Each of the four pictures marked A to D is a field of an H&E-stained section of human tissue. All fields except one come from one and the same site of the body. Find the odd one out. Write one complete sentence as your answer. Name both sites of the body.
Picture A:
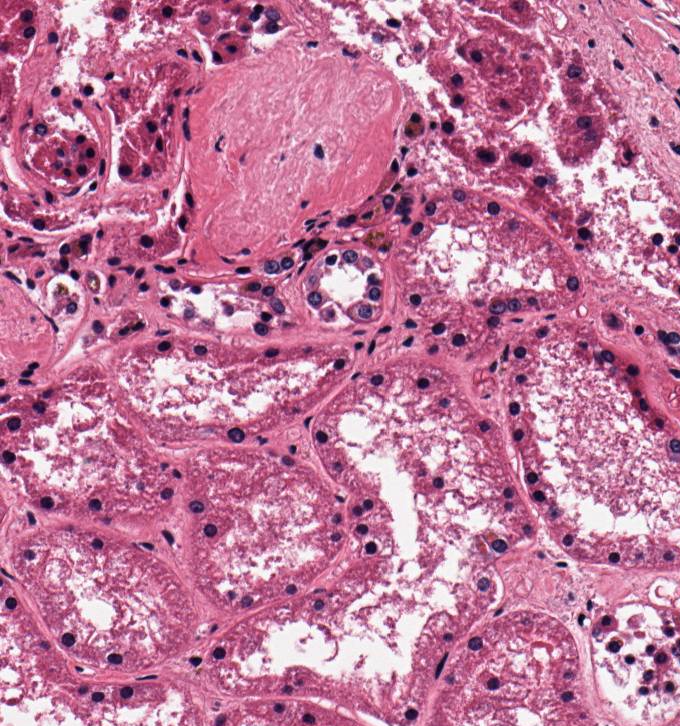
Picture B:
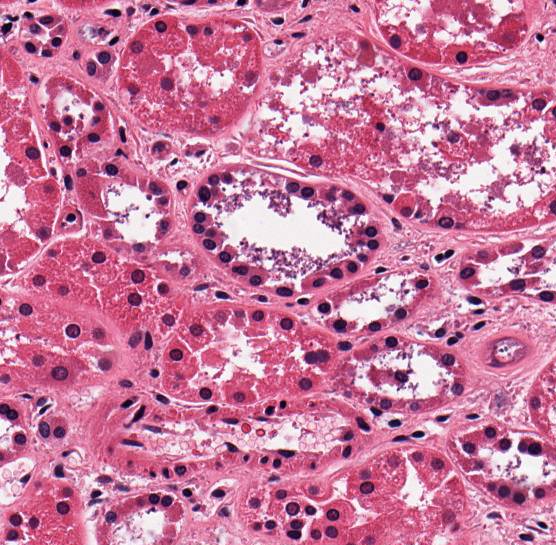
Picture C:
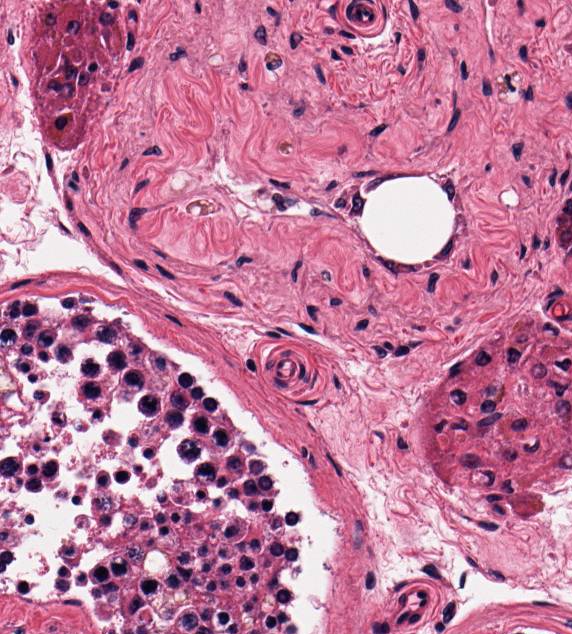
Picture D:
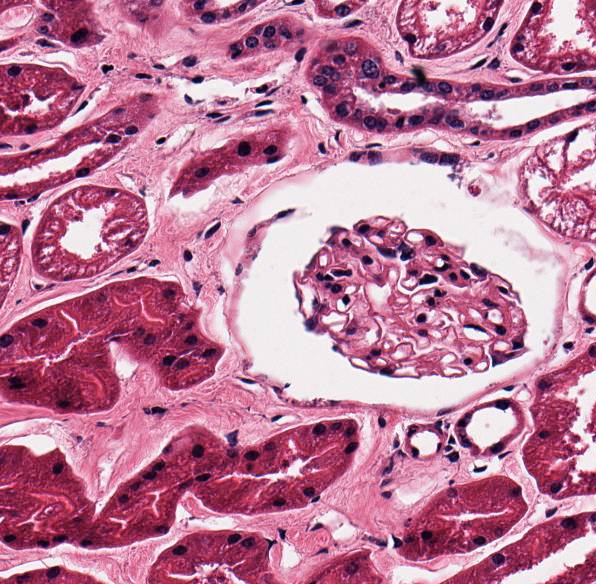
The others come from the renal cortex, but picture C comes from the testis.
